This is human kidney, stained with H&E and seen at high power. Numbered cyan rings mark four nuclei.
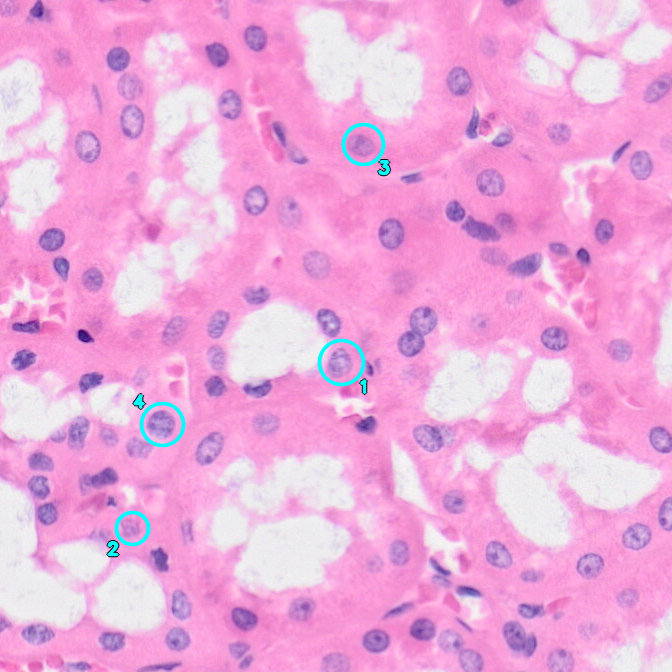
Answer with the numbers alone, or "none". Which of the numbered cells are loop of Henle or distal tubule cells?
1, 2, 4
